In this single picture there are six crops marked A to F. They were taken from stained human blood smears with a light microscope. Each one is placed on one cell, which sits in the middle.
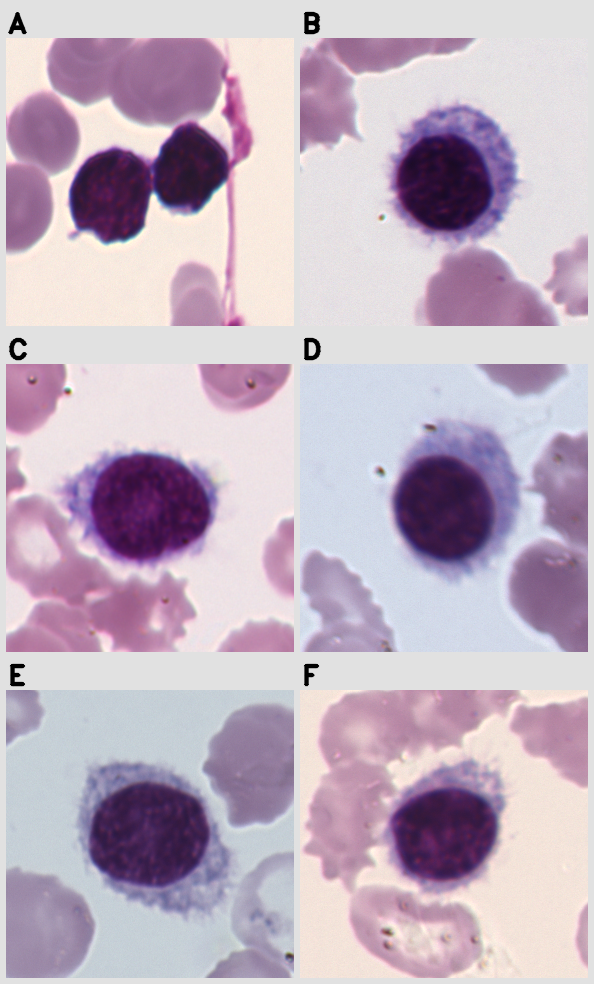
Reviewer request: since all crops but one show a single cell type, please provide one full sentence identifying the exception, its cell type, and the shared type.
In contrast to the other crops, all of which show hairy cells, crop A shows a myeloblast.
